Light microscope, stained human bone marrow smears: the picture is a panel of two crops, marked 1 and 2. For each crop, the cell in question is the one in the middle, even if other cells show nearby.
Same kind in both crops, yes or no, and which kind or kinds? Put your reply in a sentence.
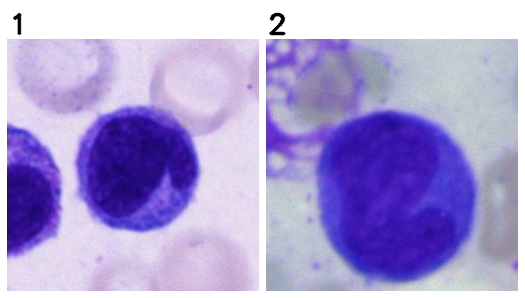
Yes, the two crops both show monocytes.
